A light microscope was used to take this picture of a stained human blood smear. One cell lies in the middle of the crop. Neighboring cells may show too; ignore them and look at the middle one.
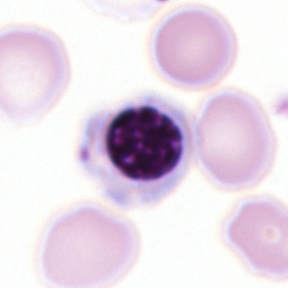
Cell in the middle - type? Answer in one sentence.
The cell nearest the centre of this crop is a normoblast.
